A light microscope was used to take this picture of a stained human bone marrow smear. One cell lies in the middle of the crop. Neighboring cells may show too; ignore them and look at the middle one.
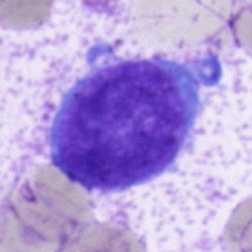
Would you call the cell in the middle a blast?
yes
